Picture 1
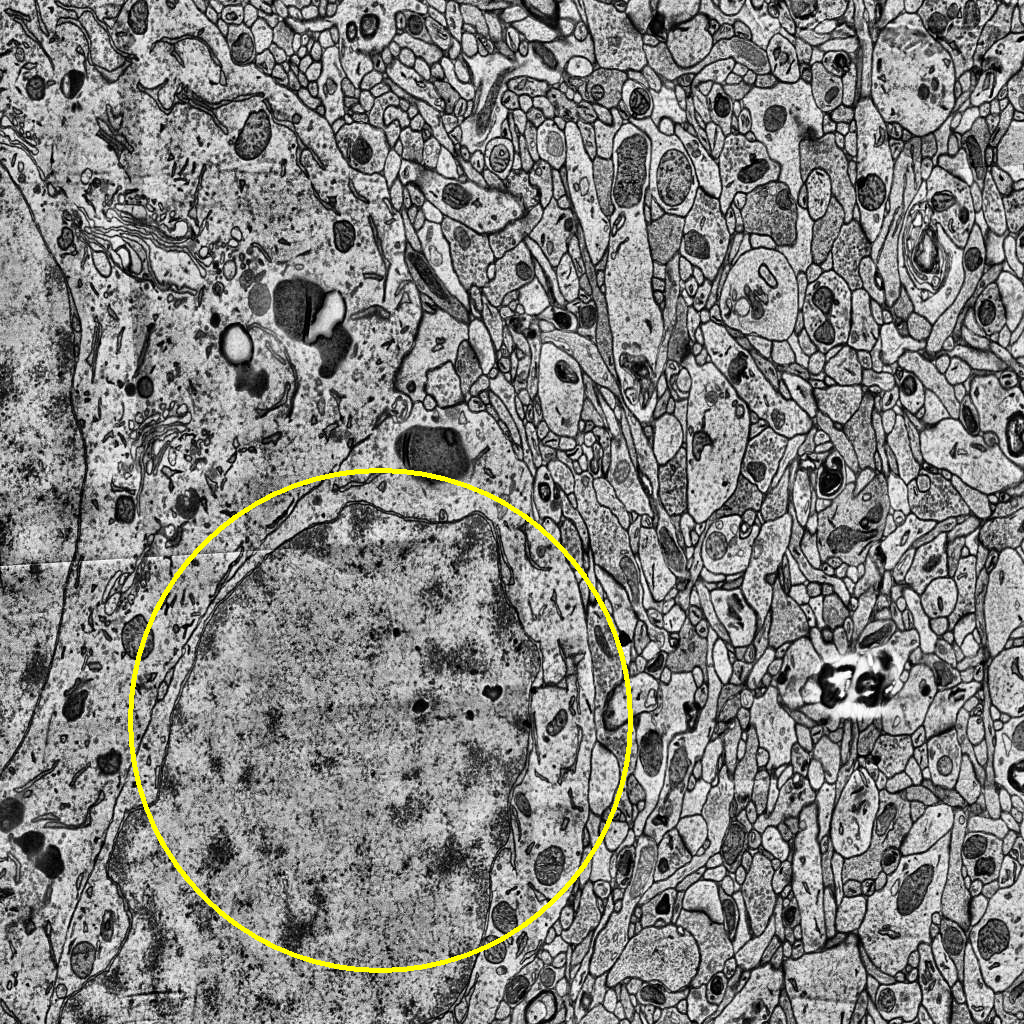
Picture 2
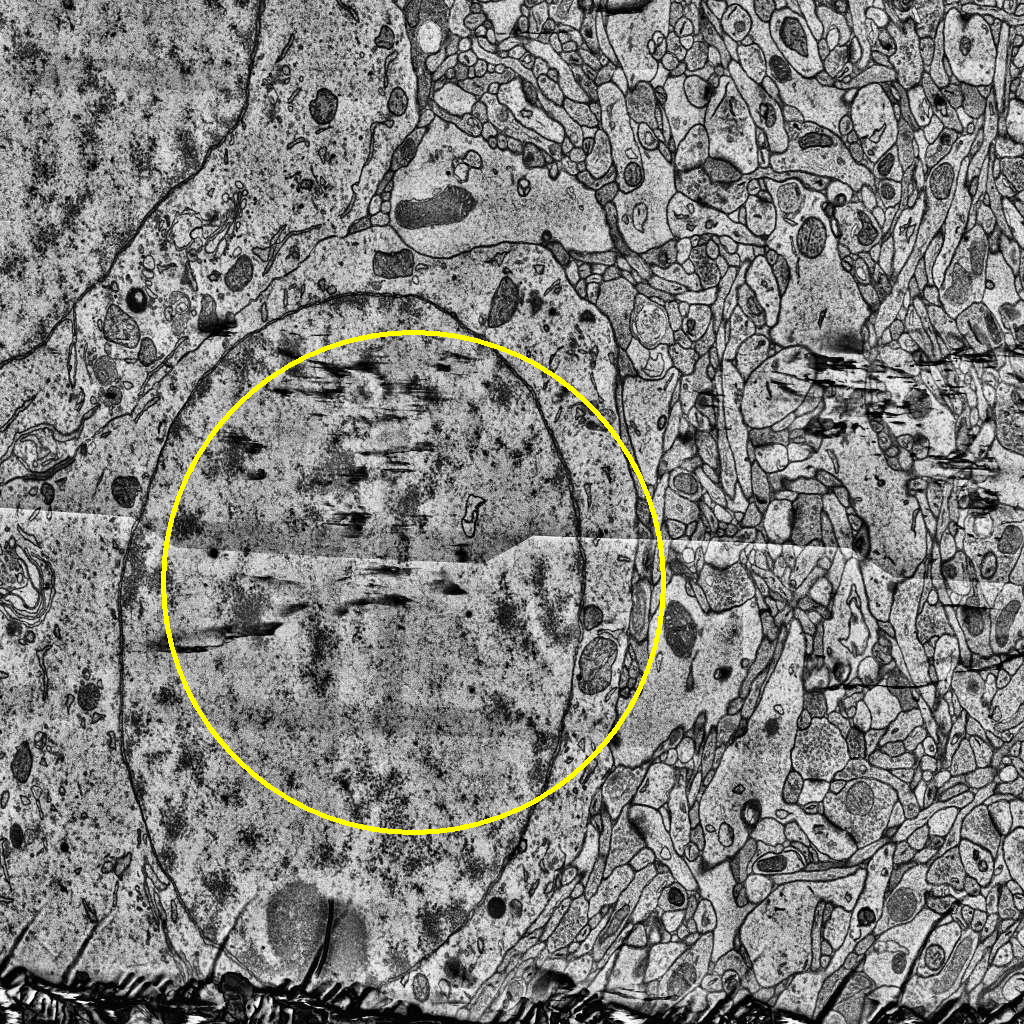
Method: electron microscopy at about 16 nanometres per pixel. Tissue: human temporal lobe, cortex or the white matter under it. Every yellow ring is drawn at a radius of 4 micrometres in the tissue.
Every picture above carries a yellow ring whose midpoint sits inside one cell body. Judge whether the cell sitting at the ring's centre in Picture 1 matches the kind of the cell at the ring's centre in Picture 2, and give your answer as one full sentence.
No, the cells at the centres of the rings in Pictures 1 and 2 belong to two kinds.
